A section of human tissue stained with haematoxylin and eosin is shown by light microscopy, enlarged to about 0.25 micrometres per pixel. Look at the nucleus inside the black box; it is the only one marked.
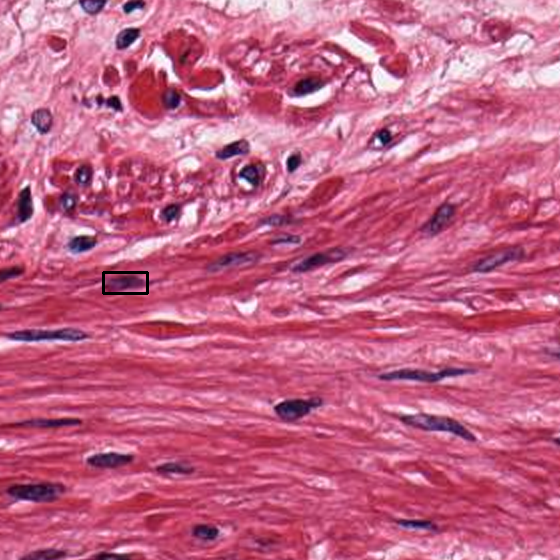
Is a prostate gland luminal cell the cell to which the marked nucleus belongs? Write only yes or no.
no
